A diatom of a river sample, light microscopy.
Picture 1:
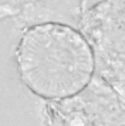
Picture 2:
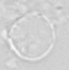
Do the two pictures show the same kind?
Yes, both are Discostella.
